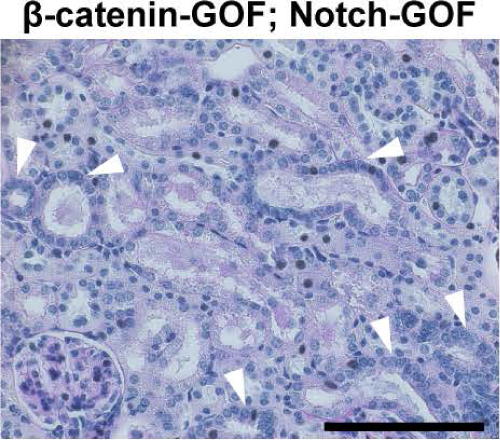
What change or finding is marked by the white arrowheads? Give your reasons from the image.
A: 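Nuclear crowding. The marked tubules are lined by densely packed, dark-blue nuclei. Nuclei in the marked tubules overlap and lie closer together than in neighbouring tubules.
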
